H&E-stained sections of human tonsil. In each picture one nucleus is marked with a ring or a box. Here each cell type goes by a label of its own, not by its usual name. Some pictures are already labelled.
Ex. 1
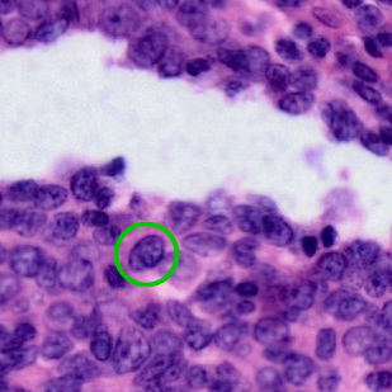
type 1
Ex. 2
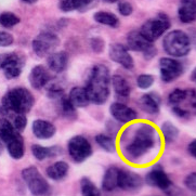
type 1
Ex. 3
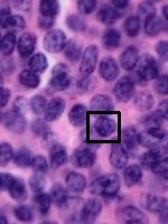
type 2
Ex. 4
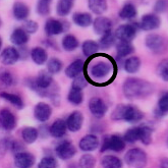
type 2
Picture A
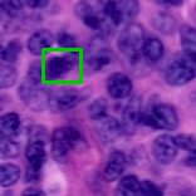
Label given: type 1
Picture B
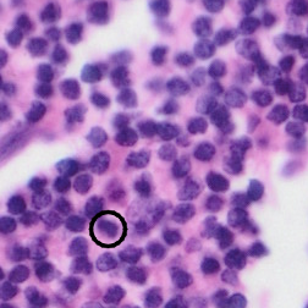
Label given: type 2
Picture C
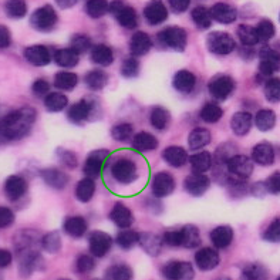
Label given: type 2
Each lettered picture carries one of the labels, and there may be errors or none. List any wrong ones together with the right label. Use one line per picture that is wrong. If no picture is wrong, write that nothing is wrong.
Nothing to fix; every label fits.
